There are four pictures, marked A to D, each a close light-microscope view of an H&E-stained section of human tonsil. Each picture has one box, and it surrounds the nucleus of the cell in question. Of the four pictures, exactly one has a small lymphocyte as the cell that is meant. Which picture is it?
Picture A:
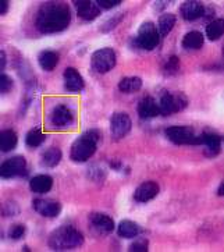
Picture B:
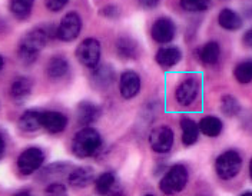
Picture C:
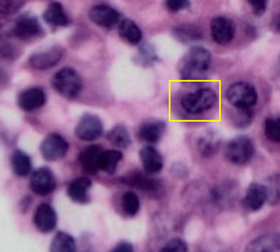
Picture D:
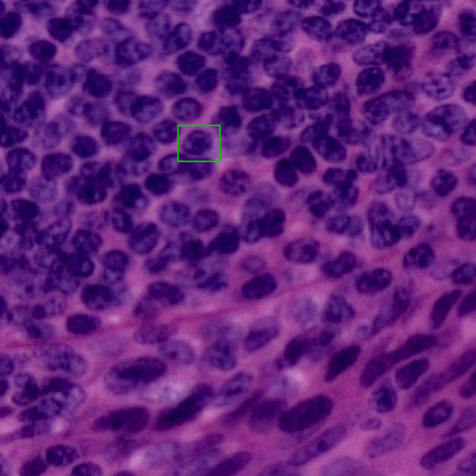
D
